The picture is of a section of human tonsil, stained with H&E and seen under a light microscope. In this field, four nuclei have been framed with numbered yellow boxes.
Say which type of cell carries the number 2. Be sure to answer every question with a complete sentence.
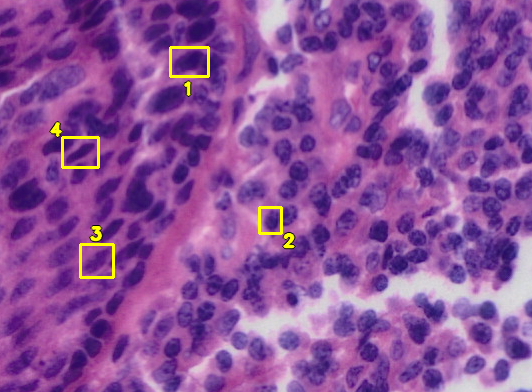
In this section, the cell tagged 2 is a plasma cell.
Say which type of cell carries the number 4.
The expected answer is that cell 4 is a squamous epithelial cell.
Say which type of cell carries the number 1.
Cell 1 of the marked set is a squamous epithelial cell.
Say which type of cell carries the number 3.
In this section, the cell tagged 3 is a squamous epithelial cell.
